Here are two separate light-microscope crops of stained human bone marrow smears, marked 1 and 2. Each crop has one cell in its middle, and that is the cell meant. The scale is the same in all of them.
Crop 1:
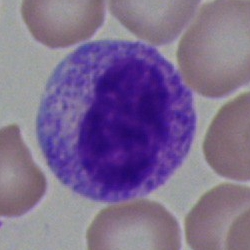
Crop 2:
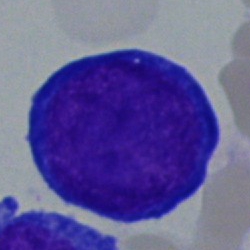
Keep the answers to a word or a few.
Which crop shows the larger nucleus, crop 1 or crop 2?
2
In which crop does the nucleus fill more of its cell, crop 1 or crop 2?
2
